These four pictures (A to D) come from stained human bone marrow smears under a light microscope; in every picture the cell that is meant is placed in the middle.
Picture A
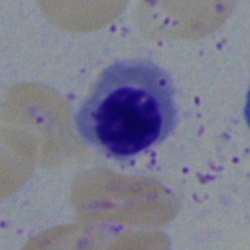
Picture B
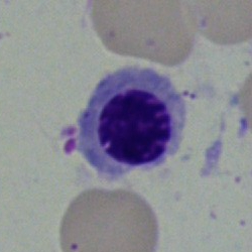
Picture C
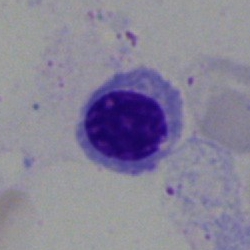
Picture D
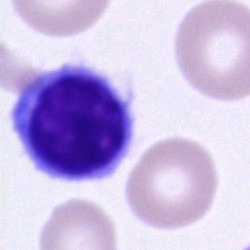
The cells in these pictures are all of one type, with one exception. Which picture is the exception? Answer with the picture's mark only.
D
